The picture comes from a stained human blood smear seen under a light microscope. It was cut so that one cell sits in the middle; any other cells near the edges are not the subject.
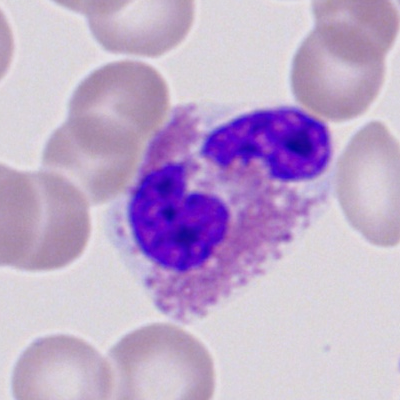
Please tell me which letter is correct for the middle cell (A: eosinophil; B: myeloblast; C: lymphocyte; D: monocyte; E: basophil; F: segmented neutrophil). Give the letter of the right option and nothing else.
A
